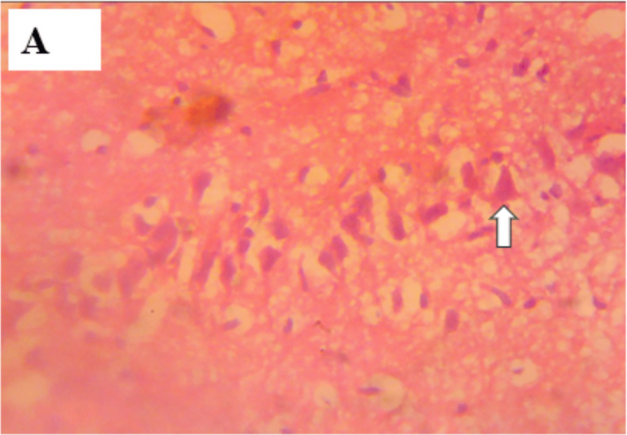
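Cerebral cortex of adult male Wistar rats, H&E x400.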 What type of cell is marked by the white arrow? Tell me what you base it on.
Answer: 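Pyramidal cell. The marked cell body is triangular and tapers to a point. Many similar purple, angular cell bodies lie in a band across the field.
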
